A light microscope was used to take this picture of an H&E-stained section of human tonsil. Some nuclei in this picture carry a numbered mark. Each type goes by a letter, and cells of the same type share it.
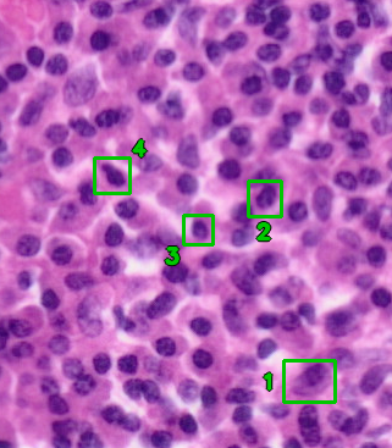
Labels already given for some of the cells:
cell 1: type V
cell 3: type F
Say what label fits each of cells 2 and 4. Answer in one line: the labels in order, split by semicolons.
type F; type F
